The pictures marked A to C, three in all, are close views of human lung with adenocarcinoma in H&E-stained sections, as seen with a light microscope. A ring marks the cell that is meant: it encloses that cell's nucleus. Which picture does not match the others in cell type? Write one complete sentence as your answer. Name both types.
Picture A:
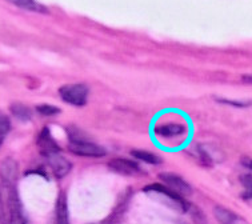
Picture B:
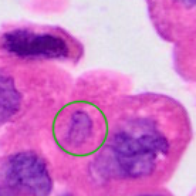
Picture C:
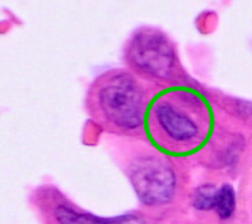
The others show carcinoma cells, but picture A shows a mast cell.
